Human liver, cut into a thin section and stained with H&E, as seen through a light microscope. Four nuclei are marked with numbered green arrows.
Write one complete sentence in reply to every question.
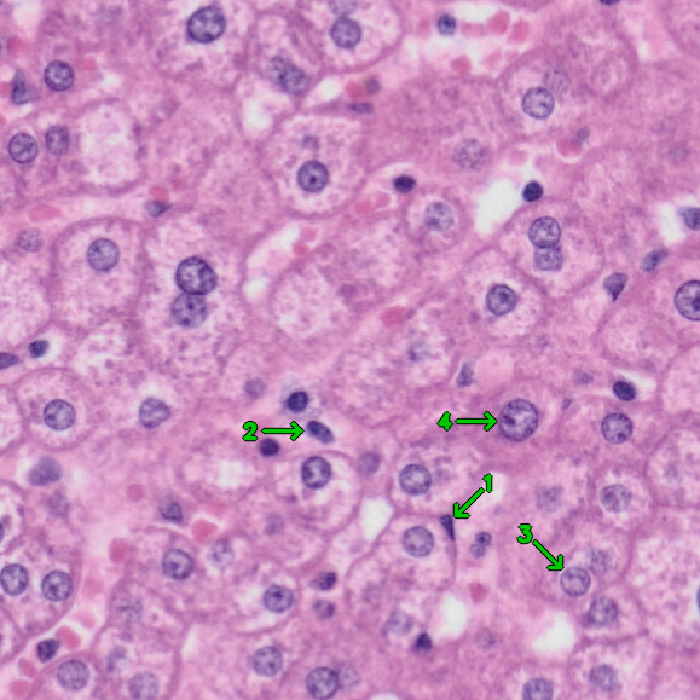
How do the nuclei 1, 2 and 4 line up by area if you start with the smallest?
By area, going up from the smallest, they rank 1, 2, 4.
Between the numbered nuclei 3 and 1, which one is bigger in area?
At about 2 times the area of nucleus 1, nucleus 3 is the larger of the two.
